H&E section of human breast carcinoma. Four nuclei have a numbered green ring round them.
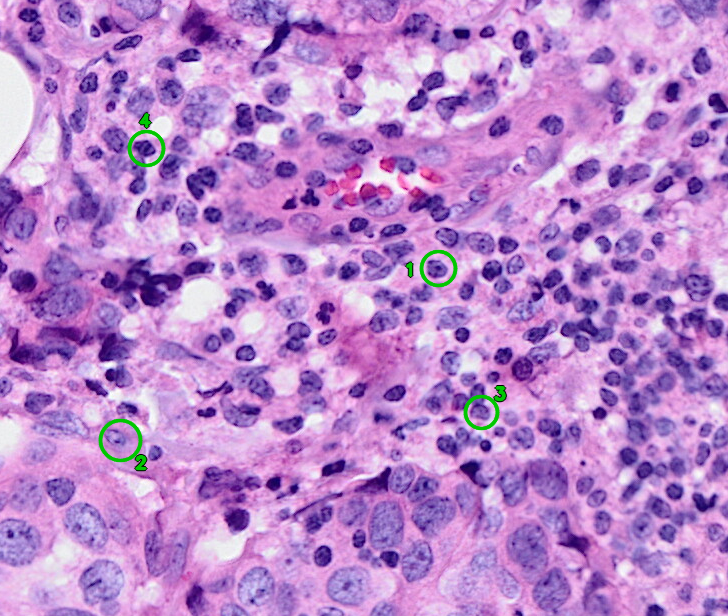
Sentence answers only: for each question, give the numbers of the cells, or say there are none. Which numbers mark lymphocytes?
The cells numbered 1, 3 and 4 are of one kind: lymphocytes.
